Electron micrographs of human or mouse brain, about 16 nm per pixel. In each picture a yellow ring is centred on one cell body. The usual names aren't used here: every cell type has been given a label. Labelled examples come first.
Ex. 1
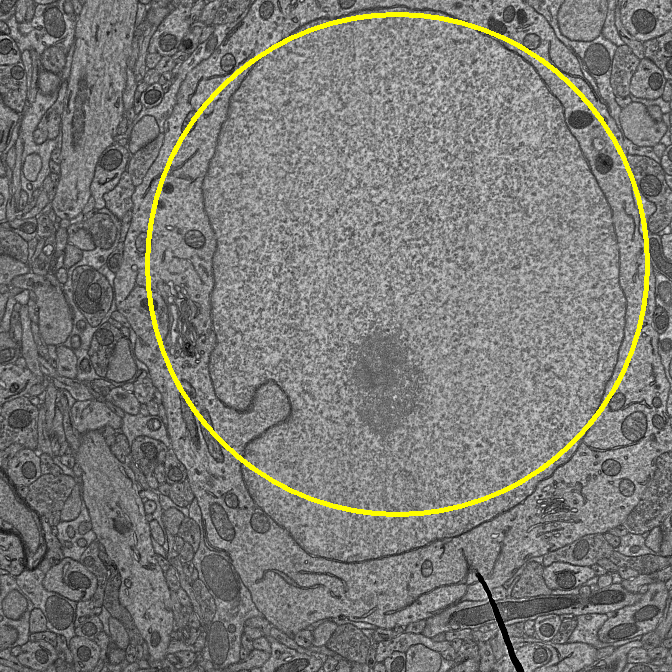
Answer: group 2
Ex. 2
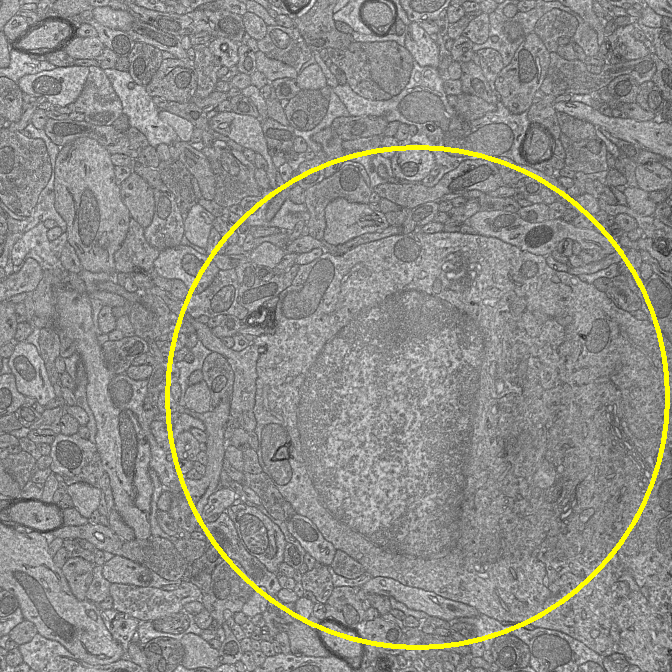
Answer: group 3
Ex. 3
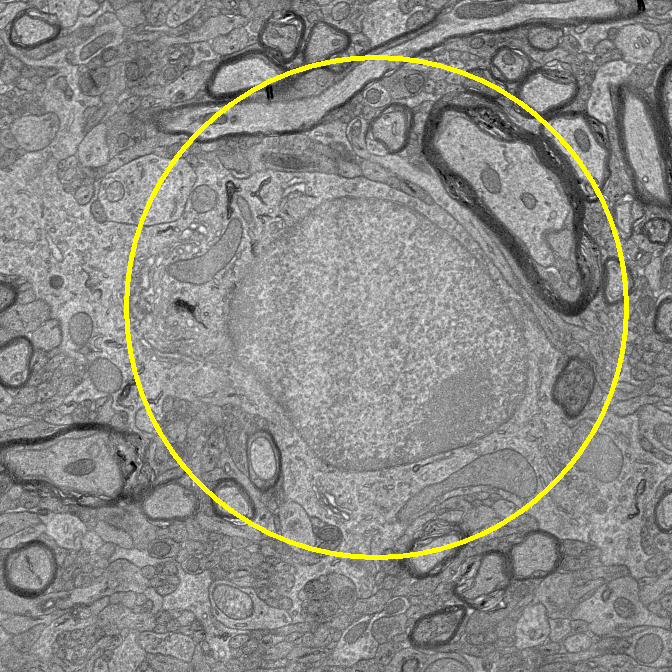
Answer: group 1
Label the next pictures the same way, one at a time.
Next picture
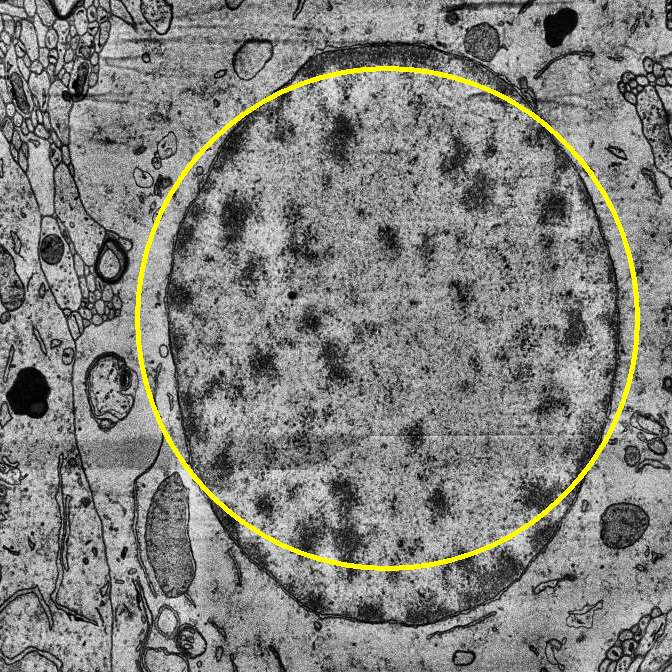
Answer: group 1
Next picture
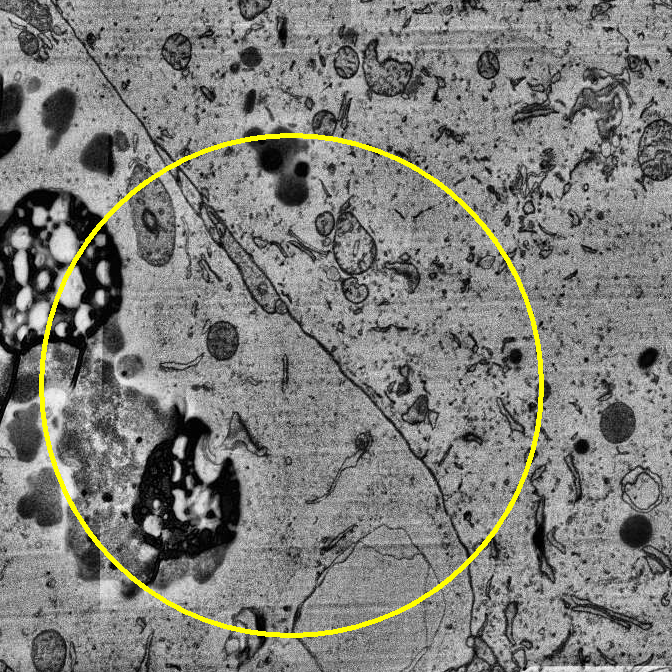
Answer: group 1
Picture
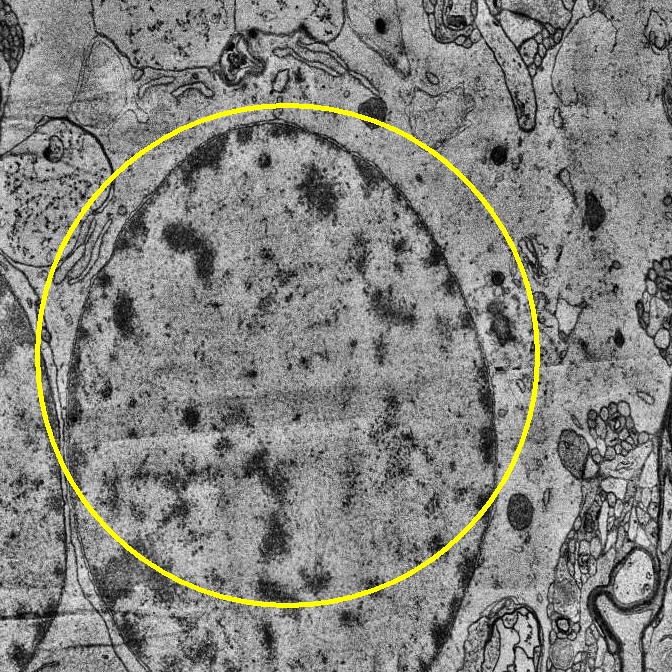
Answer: group 1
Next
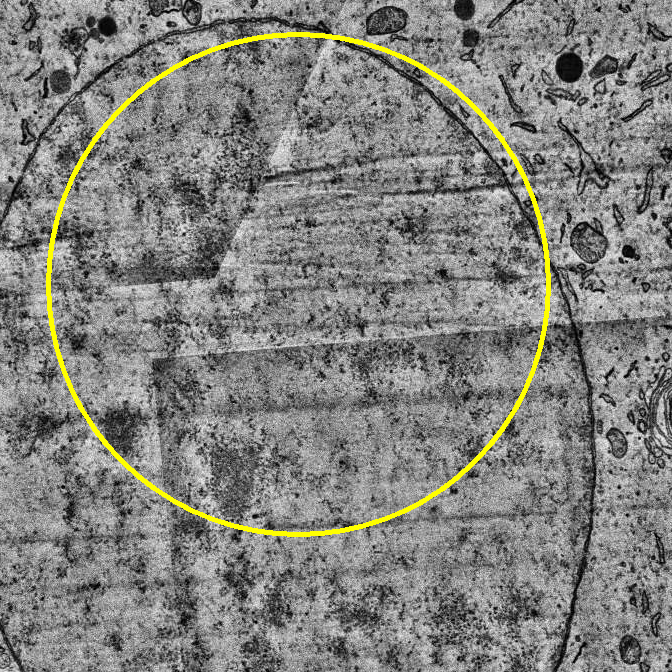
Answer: group 2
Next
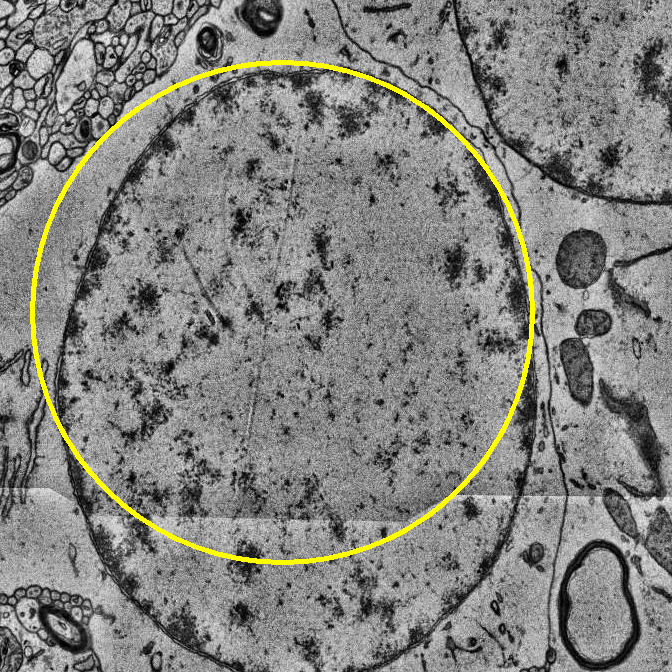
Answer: group 1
